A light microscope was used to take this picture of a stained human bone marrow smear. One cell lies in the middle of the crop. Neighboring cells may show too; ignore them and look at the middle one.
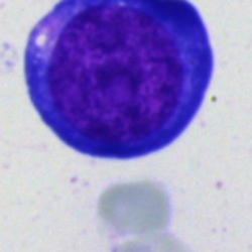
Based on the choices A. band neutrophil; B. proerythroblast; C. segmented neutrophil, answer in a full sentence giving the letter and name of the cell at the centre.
The cell in the middle is a proerythroblast, and that makes option B correct.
